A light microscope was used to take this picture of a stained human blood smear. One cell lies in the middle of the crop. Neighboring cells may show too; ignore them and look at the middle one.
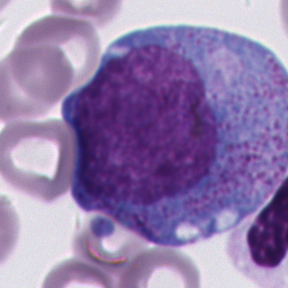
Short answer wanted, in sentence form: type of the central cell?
The cell at the middle of the frame should be recorded as a promyelocyte.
